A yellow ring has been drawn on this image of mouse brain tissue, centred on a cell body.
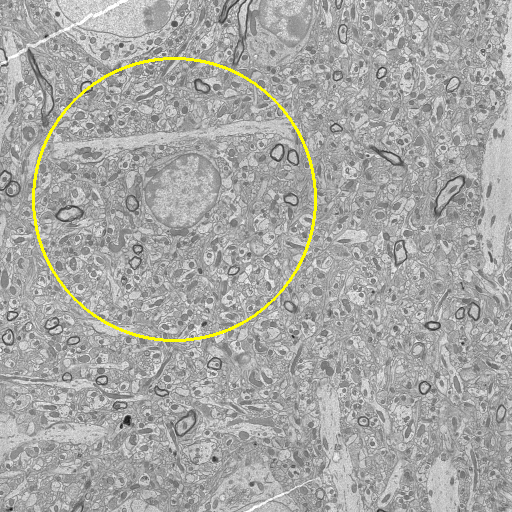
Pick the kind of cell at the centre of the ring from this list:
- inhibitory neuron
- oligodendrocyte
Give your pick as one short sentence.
The centre of the ring holds an oligodendrocyte.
